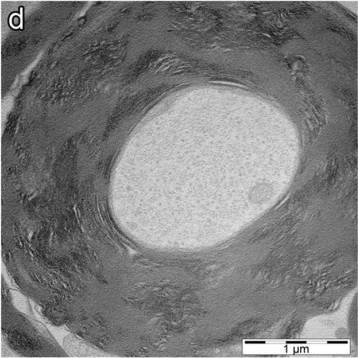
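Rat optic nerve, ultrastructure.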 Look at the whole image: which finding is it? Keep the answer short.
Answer: hypermyelination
